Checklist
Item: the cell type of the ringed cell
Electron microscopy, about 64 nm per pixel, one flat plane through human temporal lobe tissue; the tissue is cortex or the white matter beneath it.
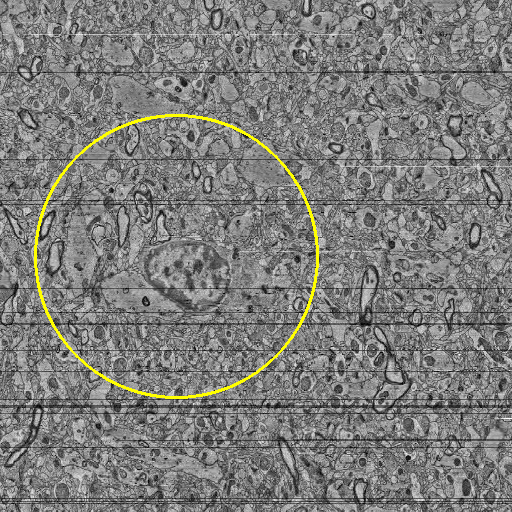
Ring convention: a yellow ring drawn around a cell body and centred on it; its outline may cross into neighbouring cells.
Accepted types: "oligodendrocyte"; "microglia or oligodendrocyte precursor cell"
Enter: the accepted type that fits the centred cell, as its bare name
oligodendrocyte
